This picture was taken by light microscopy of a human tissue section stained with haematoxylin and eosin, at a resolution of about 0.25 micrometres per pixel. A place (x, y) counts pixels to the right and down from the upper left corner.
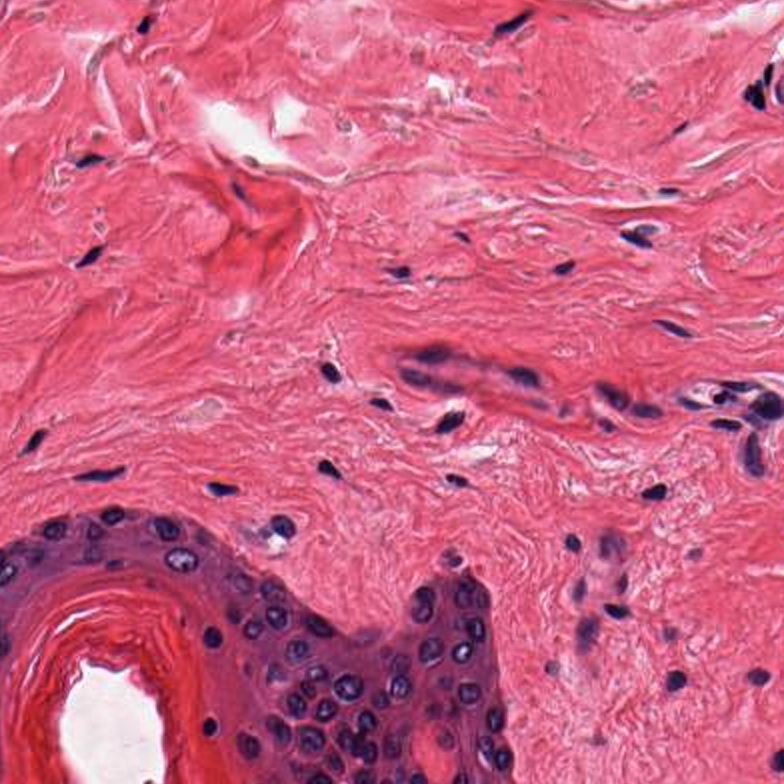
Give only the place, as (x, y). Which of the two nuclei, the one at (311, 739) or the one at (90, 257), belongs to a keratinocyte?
(311, 739)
